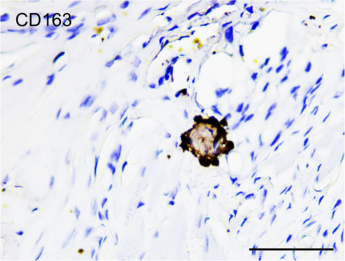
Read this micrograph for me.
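The cell is several times larger than its neighbours, with a dense dark brown, granular-looking rim around a paler interior. Around it lie many slender, elongated, spindle-shaped blue nuclei oriented in loosely parallel rows within a pale, wavy fibrous matrix, with a clear space above. A few small brown dots are scattered in the upper part of the field.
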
